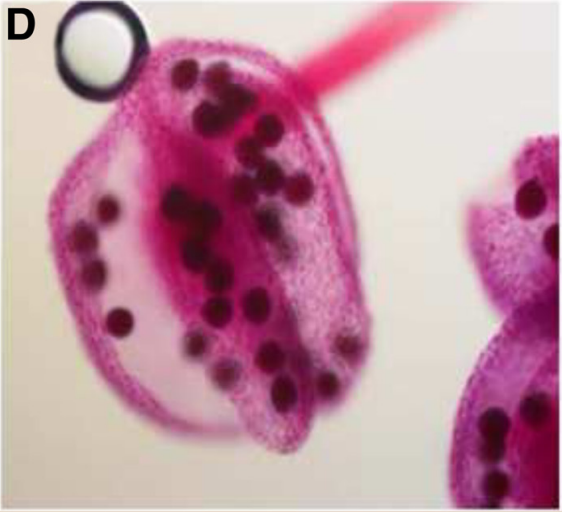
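This is an anther with its pollen grains, stained so that the wall tissue appears pink and the pollen grains deep magenta to purple. The pollen grains are small, round and of even size, each filled uniformly with dark stain. They lie clustered inside the sac-like lobes of the anther, with some lobes partly empty and paler. The anther wall forms a thin pink layer around the pollen, and a pink filament stalk joins the anther at one side.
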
